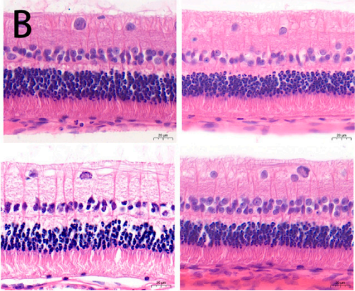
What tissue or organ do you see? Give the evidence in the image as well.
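A row of scattered larger cells at the top edge. Pale pink striated outer segment layer at the bottom.
Retina.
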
